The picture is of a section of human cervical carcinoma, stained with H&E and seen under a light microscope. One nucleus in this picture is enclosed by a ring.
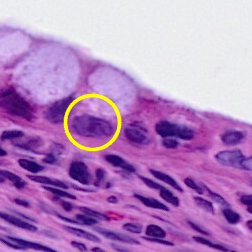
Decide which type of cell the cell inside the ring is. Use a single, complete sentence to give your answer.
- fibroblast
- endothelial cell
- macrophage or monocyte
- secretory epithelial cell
The cell type of the cell inside the ring is that of a secretory epithelial cell.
